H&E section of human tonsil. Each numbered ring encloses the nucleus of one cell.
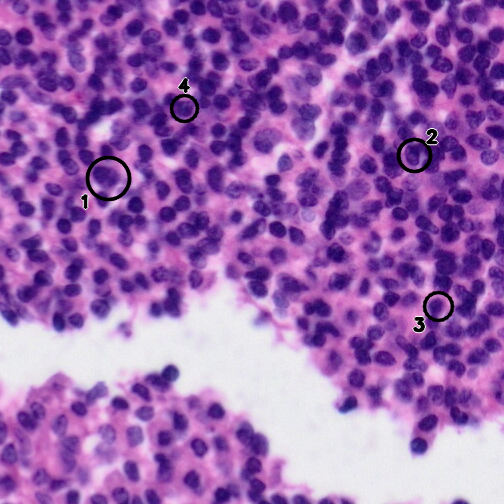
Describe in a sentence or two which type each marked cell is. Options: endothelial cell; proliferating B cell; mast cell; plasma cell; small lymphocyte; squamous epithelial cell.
Cell 1 is a proliferating B cell, cell 2 is a small lymphocyte, cell 3 is a small lymphocyte and cell 4 is a small lymphocyte.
